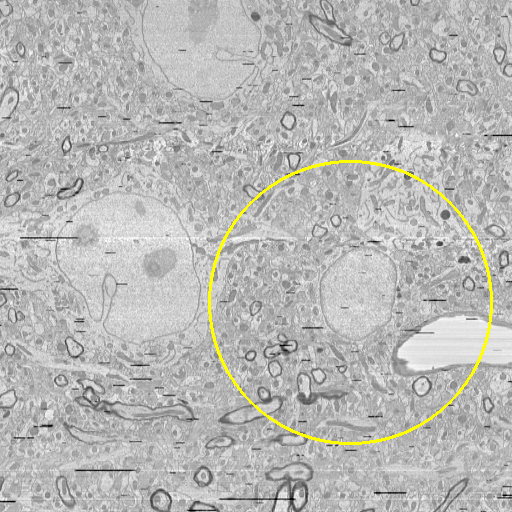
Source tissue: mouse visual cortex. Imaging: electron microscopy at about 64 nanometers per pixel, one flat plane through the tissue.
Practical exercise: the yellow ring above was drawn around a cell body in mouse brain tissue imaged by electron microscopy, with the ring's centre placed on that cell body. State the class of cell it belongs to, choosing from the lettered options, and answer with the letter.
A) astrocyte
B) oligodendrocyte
A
